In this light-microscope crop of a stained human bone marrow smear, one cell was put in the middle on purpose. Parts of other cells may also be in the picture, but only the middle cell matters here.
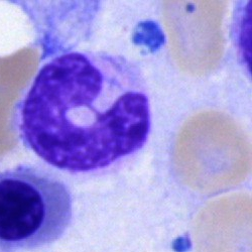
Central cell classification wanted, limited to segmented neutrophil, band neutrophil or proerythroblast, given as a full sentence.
To answer, the cell in the center of the crop is a band neutrophil.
